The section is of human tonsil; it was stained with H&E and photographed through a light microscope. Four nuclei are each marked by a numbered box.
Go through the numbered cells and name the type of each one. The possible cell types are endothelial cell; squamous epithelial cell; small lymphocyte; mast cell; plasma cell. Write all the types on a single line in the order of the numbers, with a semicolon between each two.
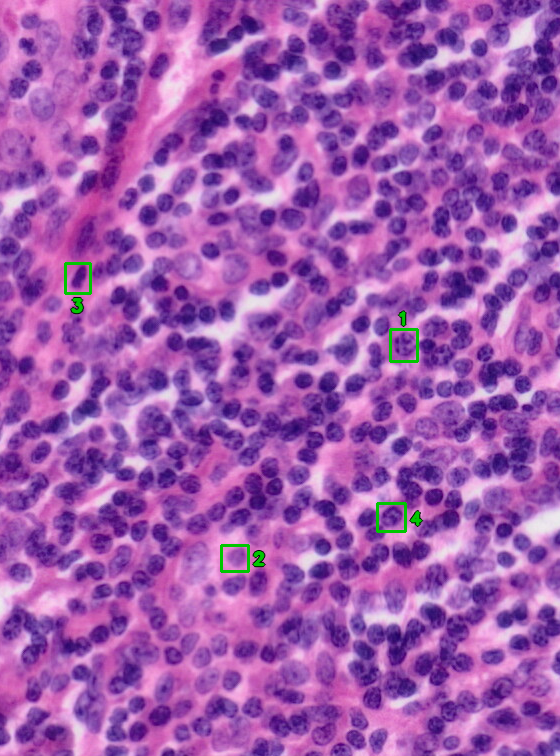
plasma cell; endothelial cell; endothelial cell; plasma cell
